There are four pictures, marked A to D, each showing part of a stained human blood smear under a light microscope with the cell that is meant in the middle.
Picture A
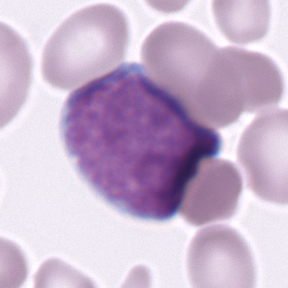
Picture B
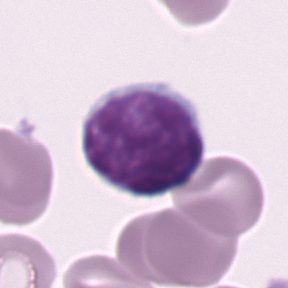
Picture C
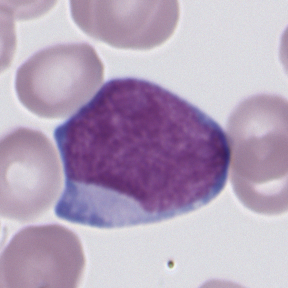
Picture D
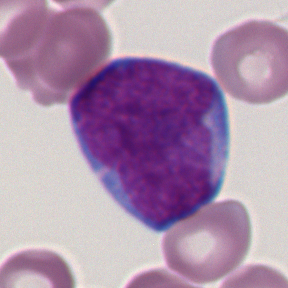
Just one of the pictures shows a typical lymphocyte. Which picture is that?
B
